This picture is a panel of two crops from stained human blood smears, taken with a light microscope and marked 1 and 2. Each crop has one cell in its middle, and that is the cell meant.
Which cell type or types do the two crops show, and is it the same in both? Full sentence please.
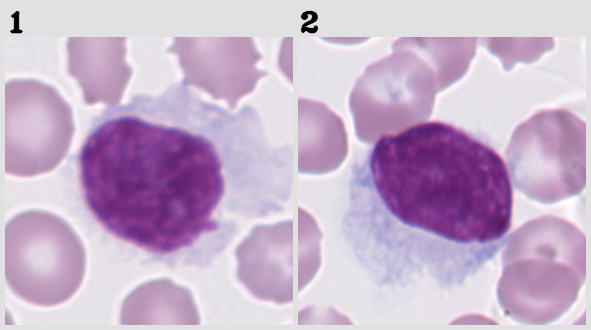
Yes, the centre cells of both crops are hairy cells.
